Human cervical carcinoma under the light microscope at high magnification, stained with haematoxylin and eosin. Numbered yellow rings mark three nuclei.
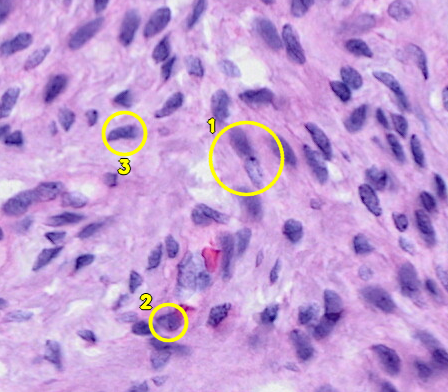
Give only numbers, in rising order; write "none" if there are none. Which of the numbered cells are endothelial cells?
2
